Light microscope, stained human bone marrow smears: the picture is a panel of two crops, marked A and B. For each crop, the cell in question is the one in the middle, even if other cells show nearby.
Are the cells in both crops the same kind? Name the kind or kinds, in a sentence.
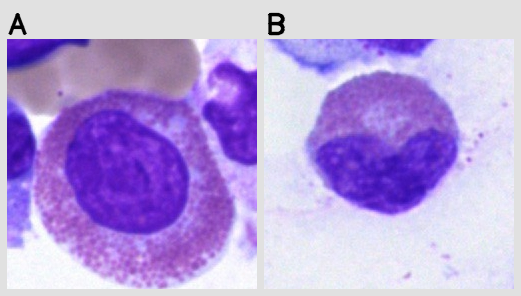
Yes, the central cells of both crops are eosinophils.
